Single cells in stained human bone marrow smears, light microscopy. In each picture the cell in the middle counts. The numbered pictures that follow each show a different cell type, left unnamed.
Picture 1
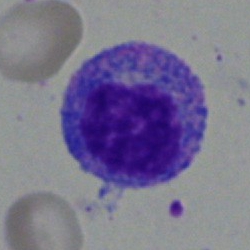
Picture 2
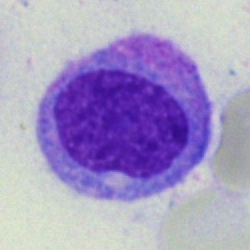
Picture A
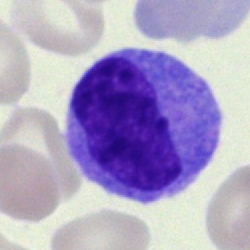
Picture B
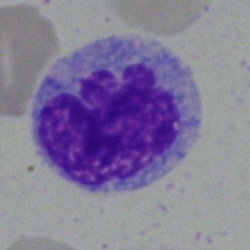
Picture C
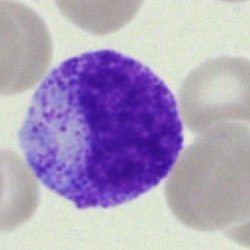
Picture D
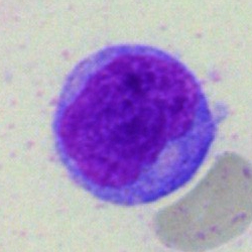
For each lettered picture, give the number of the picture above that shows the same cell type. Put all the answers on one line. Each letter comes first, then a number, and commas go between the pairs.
A 2, B 2, C 1, D 2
